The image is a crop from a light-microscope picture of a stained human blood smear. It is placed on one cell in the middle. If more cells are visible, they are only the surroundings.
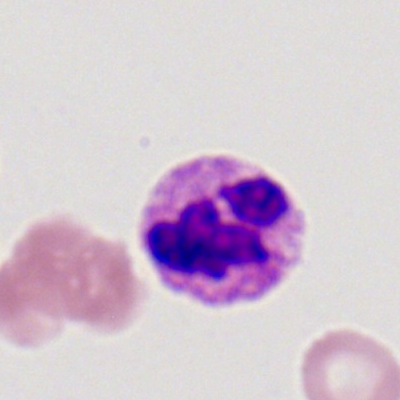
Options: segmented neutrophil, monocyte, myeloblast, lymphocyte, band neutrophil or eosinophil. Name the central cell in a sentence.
At the crop's centre, the cell is a segmented neutrophil.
